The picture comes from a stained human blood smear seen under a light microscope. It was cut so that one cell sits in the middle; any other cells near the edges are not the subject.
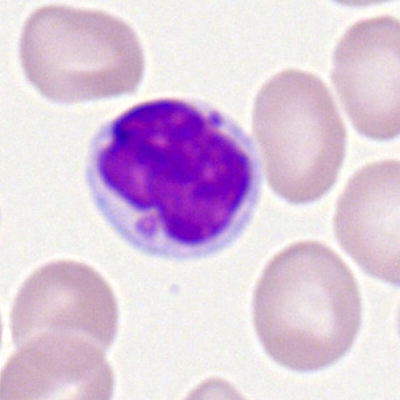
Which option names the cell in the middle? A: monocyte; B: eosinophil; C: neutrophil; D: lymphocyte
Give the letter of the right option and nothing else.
D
